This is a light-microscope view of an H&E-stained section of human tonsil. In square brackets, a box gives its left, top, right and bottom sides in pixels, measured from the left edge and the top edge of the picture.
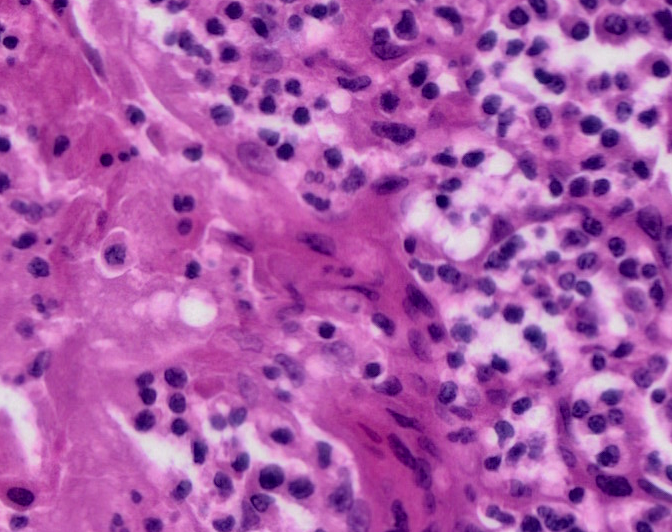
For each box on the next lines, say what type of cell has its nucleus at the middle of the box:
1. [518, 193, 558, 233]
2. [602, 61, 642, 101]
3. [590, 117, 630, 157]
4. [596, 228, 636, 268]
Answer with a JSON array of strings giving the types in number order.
["squamous epithelial cell", "plasma cell", "plasma cell", "plasma cell"]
